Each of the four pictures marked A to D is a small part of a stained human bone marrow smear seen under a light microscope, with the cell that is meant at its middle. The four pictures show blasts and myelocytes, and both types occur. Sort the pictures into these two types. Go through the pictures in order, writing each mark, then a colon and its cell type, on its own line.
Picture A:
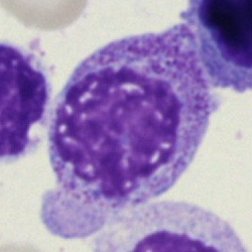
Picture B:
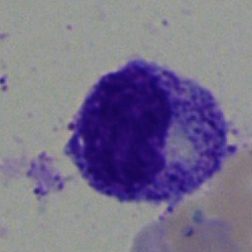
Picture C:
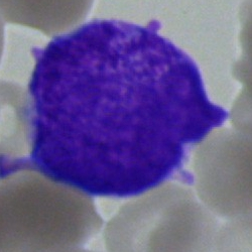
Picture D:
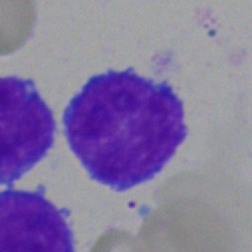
A: myelocyte
B: myelocyte
C: blast
D: blast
